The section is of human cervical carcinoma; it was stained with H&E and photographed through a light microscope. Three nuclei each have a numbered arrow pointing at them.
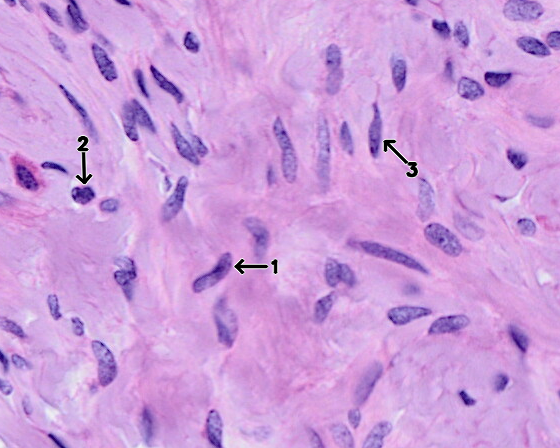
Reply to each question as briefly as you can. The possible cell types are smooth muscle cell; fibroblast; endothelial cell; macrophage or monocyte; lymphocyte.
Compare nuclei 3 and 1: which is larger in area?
3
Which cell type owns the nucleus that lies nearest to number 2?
fibroblast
